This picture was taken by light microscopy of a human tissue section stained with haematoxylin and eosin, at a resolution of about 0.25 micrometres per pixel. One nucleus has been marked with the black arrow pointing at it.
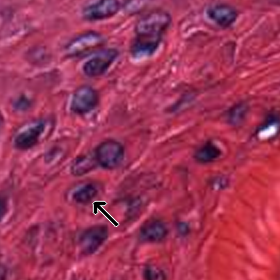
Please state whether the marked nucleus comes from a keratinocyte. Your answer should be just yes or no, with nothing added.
yes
